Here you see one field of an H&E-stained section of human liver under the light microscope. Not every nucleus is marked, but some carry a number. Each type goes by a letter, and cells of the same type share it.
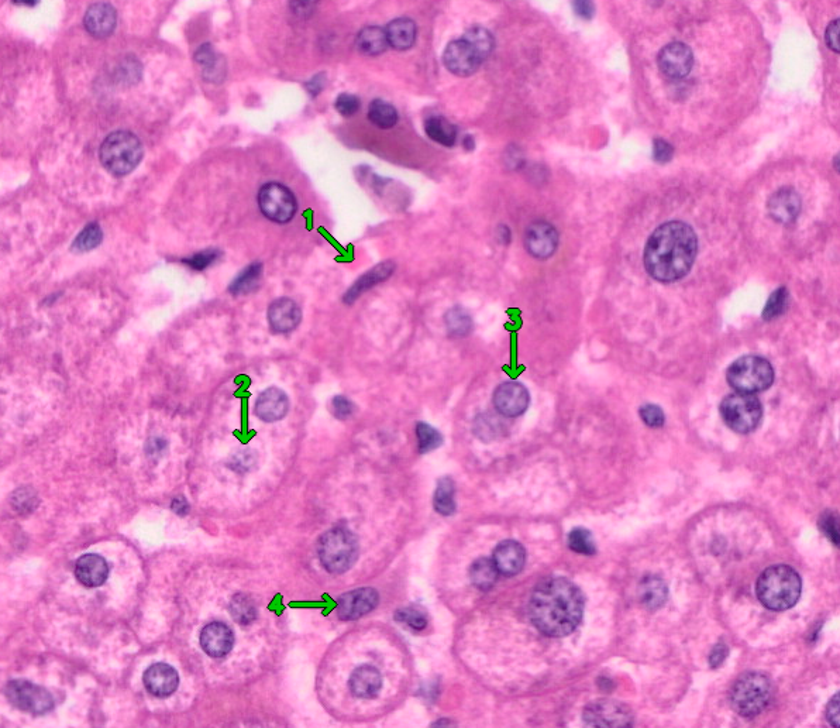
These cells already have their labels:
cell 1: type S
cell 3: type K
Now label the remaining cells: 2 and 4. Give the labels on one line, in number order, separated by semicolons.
type K; type S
